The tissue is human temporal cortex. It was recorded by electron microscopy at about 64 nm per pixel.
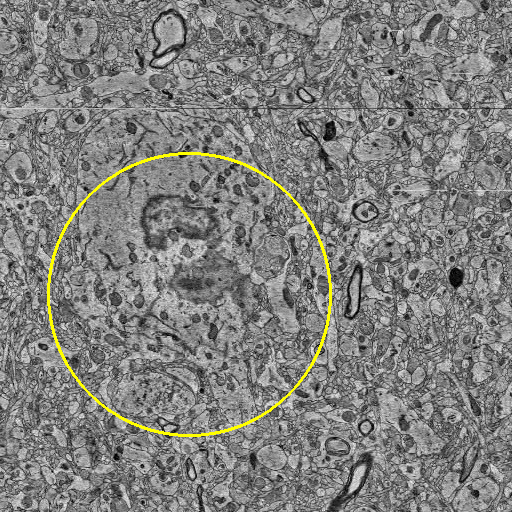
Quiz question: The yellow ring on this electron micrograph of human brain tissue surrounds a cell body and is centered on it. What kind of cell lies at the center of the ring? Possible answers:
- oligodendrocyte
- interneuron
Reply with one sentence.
The ring's center lies on an oligodendrocyte.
